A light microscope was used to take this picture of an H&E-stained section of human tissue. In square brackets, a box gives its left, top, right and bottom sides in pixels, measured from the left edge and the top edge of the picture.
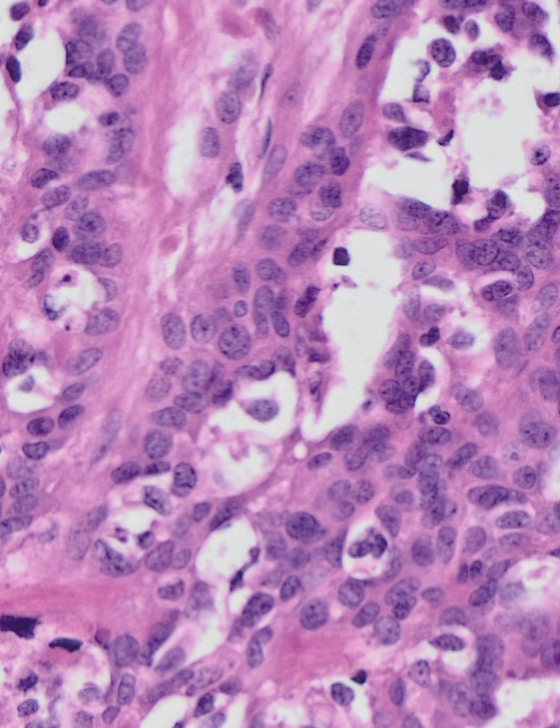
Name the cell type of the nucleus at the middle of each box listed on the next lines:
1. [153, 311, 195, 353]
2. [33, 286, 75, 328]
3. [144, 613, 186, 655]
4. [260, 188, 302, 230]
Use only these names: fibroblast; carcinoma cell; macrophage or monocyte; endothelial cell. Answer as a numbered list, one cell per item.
1. carcinoma cell
2. macrophage or monocyte
3. carcinoma cell
4. carcinoma cell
